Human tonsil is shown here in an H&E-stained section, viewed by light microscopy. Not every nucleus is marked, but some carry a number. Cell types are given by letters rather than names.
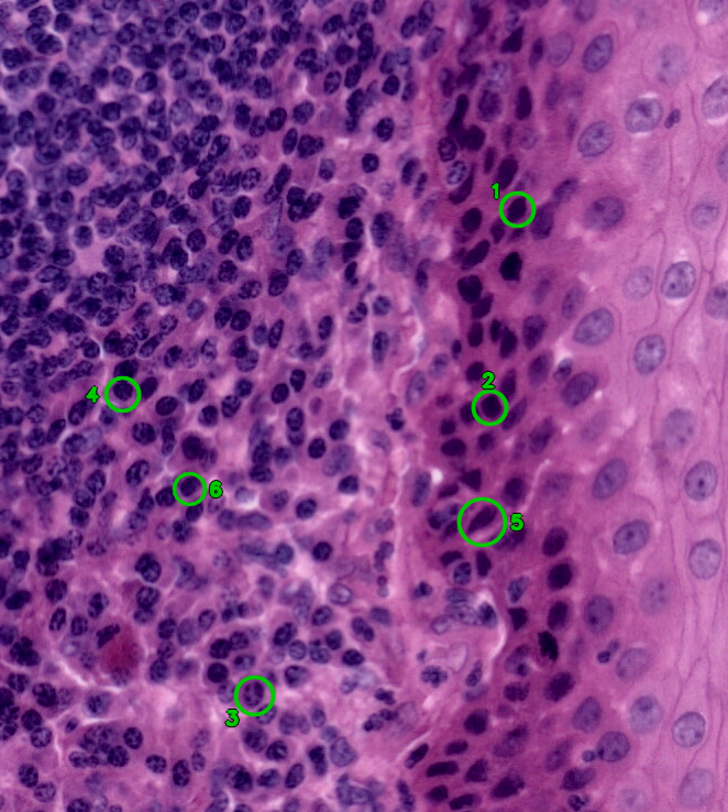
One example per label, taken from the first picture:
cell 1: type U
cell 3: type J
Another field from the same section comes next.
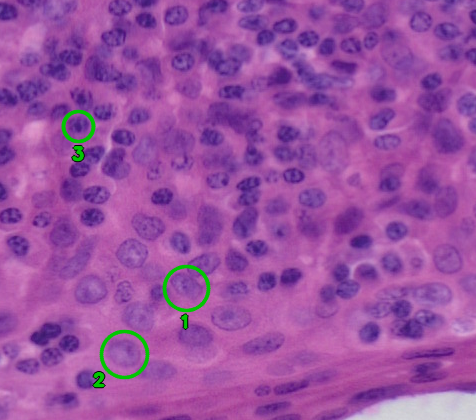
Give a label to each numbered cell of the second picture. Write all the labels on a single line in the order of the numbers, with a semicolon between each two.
type U; type U; type J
